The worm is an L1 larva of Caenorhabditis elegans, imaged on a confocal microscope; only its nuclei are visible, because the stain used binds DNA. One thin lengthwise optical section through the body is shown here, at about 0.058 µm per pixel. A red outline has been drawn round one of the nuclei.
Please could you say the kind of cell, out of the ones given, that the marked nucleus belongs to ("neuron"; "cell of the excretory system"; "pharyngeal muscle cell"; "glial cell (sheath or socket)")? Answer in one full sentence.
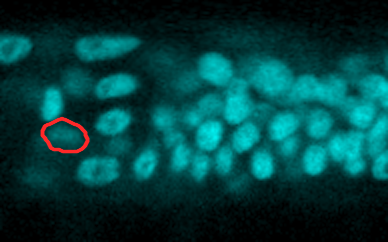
The marked nucleus belongs to a glial cell (sheath or socket).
